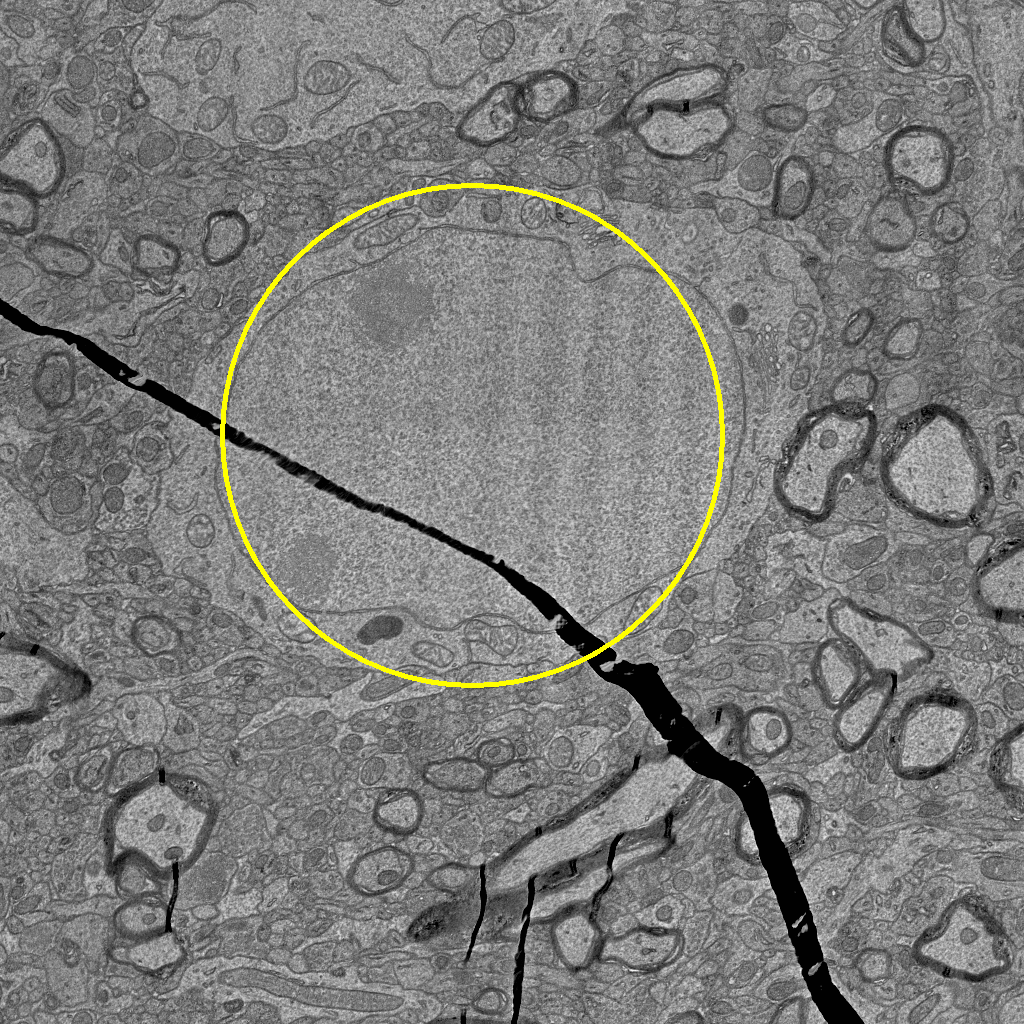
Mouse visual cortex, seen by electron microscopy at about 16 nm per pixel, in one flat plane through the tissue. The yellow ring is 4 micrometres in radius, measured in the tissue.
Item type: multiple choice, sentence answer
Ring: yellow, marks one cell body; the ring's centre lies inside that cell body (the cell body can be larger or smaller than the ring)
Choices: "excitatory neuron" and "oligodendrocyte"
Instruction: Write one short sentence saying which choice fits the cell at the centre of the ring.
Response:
The centre of this ring lies on an excitatory neuron.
